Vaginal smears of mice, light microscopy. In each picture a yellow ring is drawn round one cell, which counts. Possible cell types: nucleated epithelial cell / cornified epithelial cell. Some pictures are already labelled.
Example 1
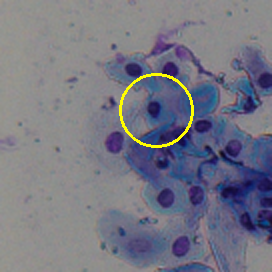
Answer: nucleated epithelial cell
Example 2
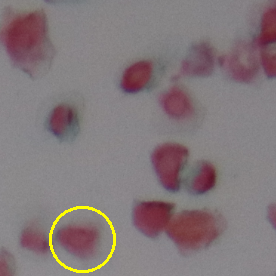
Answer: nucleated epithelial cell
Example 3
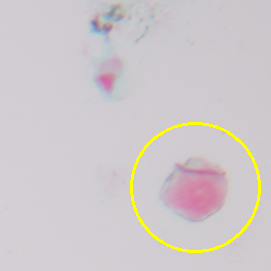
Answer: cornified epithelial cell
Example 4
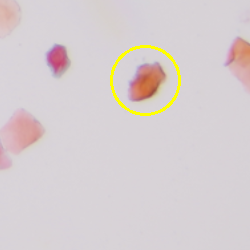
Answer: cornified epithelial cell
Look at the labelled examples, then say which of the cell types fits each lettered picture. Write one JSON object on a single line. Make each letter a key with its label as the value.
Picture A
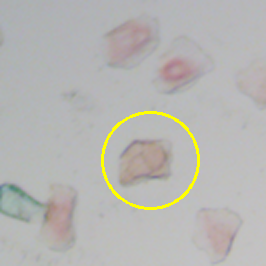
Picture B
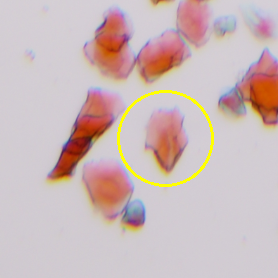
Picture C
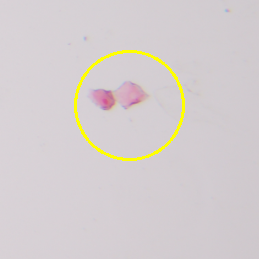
{"A": "cornified epithelial cell", "B": "cornified epithelial cell", "C": "cornified epithelial cell"}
